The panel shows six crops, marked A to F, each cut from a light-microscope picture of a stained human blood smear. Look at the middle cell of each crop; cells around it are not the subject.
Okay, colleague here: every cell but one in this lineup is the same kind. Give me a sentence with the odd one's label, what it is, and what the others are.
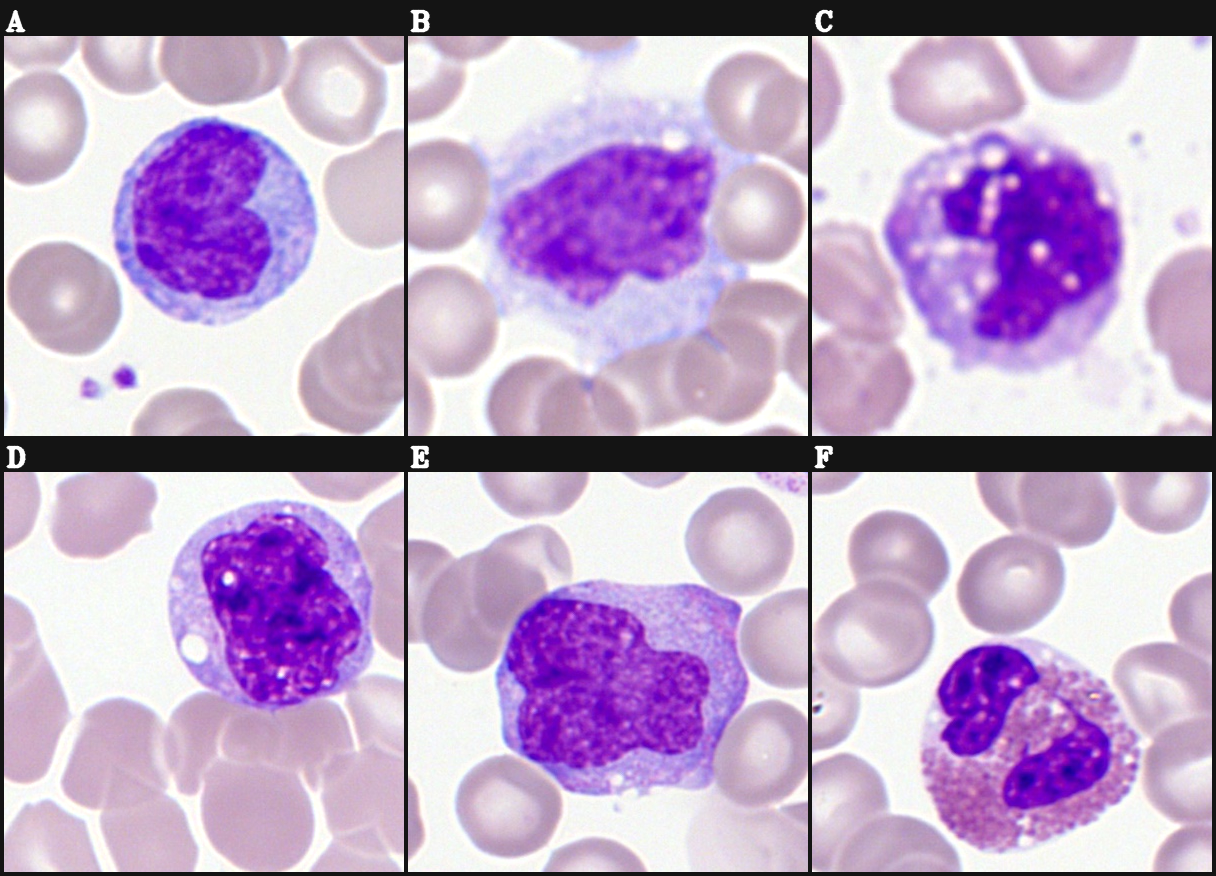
Among the crops, crop F is unique in showing an eosinophil; the others show monocytes.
